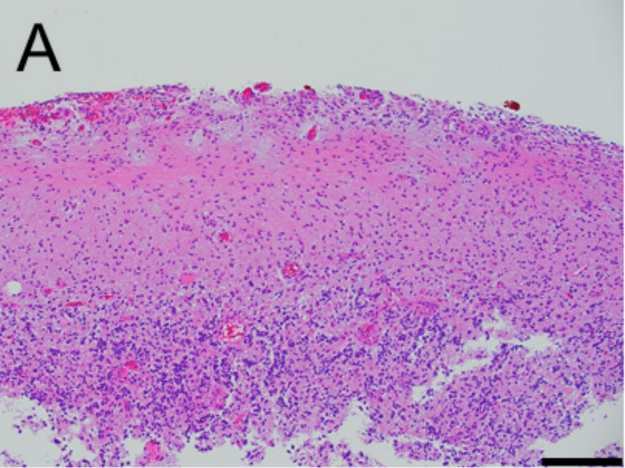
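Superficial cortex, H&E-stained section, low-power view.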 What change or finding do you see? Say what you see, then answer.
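Diffusely infiltrating glial neoplasm. The cellularity increases towards the deeper part without a sharp border.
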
